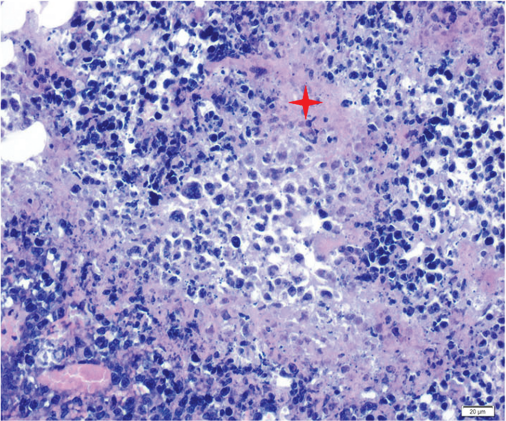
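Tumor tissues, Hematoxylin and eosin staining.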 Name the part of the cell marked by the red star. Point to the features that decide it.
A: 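Eosinophilic cytoplasm. The star sits on a pink-staining area among purple nuclei.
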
